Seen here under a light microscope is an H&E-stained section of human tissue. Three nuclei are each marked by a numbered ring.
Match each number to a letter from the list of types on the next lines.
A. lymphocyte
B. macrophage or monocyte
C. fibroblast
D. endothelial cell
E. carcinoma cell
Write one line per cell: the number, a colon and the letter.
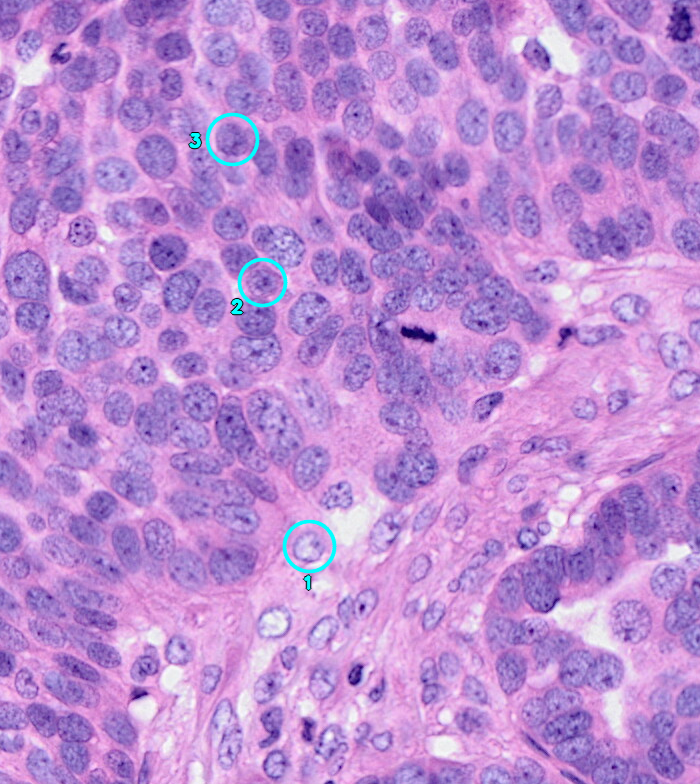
1: C
2: E
3: E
